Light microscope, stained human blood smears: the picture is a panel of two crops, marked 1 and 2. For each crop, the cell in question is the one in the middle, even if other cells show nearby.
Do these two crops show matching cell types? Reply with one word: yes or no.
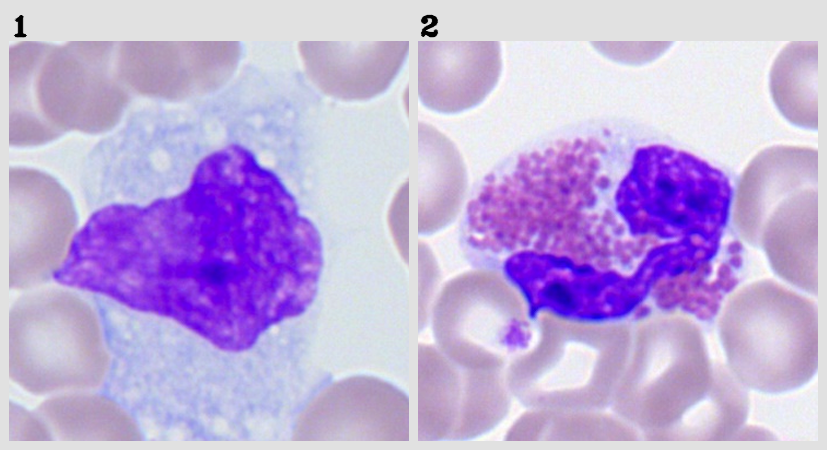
no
